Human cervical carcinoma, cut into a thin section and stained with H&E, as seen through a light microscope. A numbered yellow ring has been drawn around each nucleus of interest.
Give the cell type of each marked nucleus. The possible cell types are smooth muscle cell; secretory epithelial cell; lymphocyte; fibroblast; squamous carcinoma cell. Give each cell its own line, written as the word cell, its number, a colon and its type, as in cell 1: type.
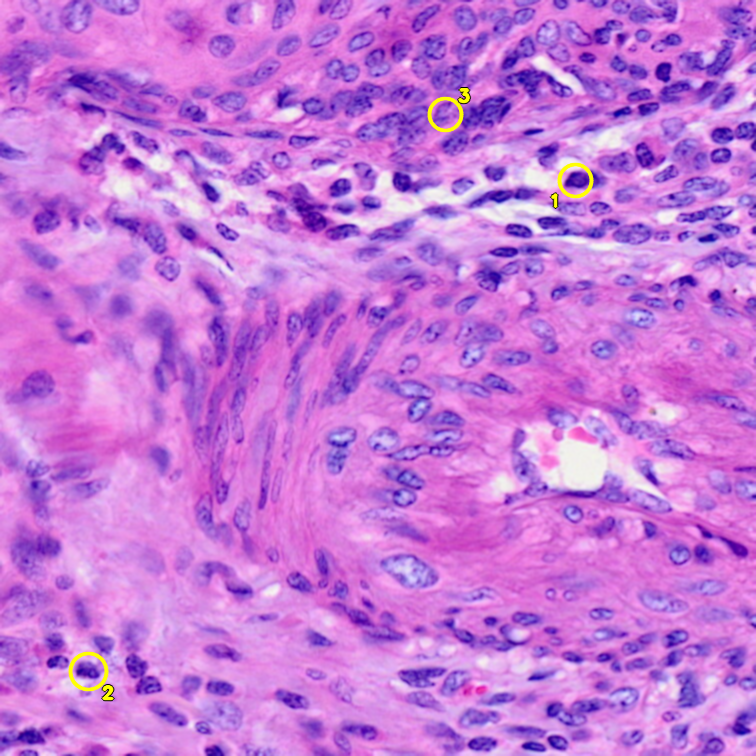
cell 1: lymphocyte
cell 2: lymphocyte
cell 3: squamous carcinoma cell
